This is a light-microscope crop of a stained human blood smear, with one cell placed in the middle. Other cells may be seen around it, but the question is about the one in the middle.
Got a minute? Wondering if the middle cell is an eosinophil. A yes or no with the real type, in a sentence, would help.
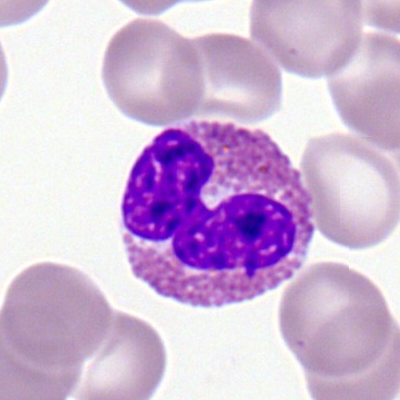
Yes, the cell that is in the middle is an eosinophil.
